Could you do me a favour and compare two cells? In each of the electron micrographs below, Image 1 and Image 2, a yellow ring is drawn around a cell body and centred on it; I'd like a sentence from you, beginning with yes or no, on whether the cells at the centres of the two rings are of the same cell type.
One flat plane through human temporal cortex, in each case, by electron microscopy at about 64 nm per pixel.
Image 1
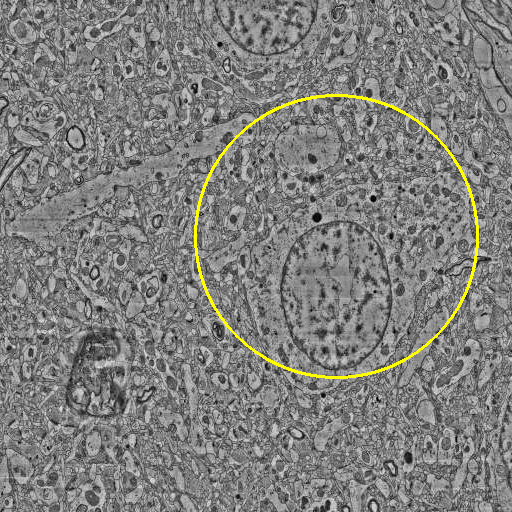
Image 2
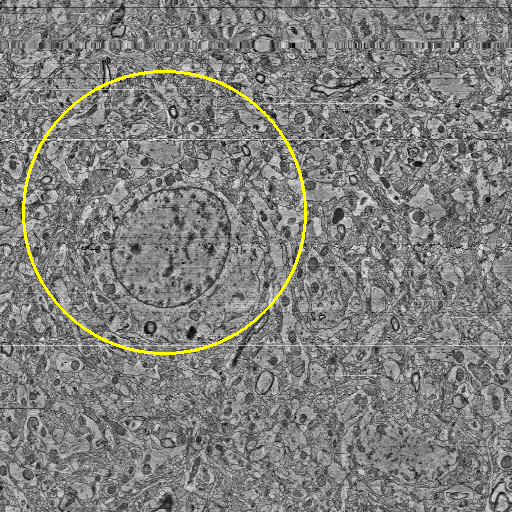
Yes, the two cells are of the same cell type.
